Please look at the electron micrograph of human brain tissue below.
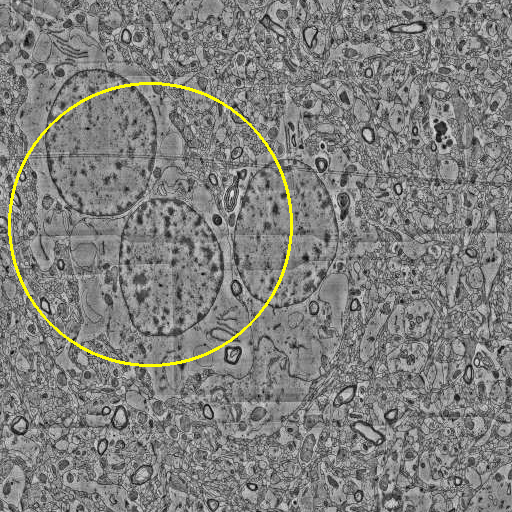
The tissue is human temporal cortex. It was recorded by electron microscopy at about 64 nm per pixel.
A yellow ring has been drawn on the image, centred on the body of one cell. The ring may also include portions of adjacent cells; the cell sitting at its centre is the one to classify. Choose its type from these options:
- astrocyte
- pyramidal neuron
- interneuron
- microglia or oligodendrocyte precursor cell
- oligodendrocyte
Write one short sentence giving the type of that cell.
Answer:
The cell in the middle of the ring is an astrocyte.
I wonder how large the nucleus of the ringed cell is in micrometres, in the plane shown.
In this plane the nucleus spans approximately 9 by 7 micrometers.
